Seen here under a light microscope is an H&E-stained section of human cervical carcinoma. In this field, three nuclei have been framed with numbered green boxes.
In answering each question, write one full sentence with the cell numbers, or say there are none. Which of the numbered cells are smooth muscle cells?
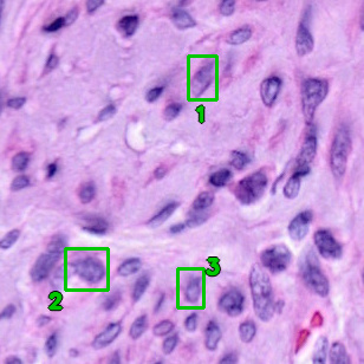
Cells 1 and 3 are classified as smooth muscle cells.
